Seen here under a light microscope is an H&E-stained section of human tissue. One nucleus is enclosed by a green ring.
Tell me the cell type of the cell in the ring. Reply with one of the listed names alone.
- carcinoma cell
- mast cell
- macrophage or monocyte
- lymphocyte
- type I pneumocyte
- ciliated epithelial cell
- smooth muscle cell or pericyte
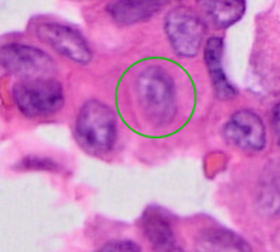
carcinoma cell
